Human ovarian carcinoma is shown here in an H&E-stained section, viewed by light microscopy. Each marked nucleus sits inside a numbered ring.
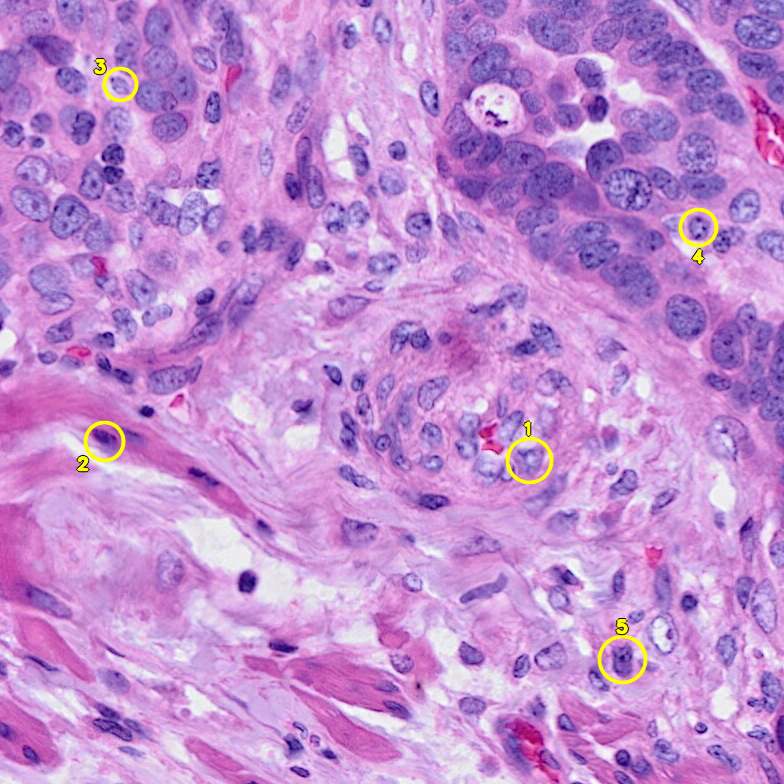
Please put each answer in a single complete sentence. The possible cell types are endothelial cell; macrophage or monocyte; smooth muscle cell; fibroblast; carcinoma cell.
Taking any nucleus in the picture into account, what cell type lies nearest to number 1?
It is an endothelial cell whose nucleus is nearest to number 1.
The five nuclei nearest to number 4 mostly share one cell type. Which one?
Macrophages or monocytes account for more than half of the five nuclei nearest to number 4.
